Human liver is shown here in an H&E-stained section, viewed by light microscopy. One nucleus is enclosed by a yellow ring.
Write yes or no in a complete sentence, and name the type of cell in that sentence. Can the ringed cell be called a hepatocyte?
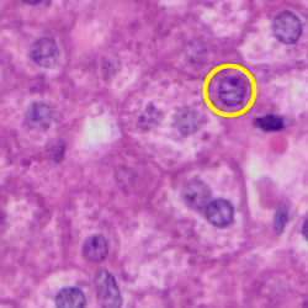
Yes, when classified by type, the ringed cell is a hepatocyte.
